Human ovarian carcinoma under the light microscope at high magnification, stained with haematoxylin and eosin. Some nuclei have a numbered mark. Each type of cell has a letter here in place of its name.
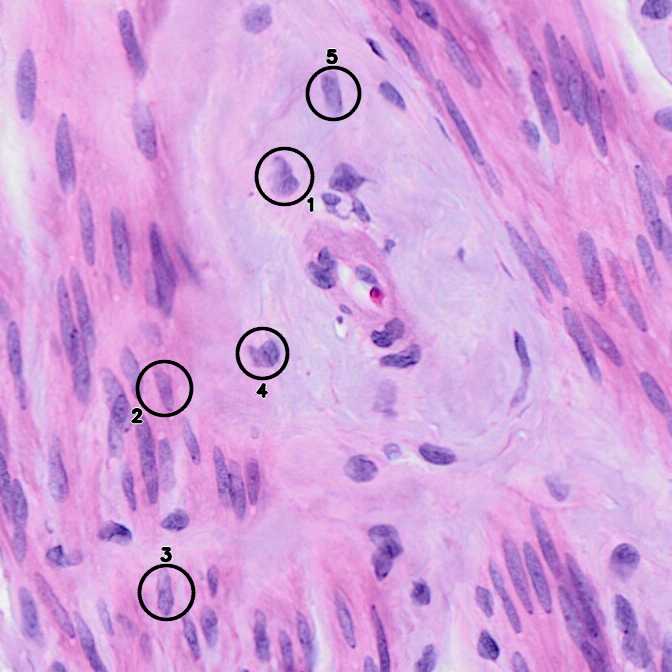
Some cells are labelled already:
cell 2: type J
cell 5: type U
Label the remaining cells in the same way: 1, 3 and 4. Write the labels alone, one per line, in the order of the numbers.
type U
type J
type U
